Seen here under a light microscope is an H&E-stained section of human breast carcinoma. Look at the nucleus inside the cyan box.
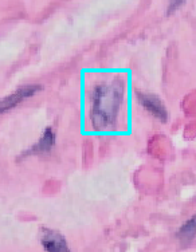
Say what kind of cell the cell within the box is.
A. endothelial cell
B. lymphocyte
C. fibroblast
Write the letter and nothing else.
A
